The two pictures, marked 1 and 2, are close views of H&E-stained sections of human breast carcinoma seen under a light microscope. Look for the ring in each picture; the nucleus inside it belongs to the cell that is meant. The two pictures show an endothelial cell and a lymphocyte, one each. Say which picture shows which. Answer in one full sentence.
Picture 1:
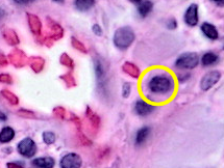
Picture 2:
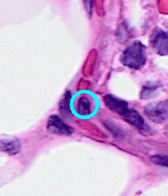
It is picture 1 that shows a lymphocyte, and picture 2 that shows an endothelial cell.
